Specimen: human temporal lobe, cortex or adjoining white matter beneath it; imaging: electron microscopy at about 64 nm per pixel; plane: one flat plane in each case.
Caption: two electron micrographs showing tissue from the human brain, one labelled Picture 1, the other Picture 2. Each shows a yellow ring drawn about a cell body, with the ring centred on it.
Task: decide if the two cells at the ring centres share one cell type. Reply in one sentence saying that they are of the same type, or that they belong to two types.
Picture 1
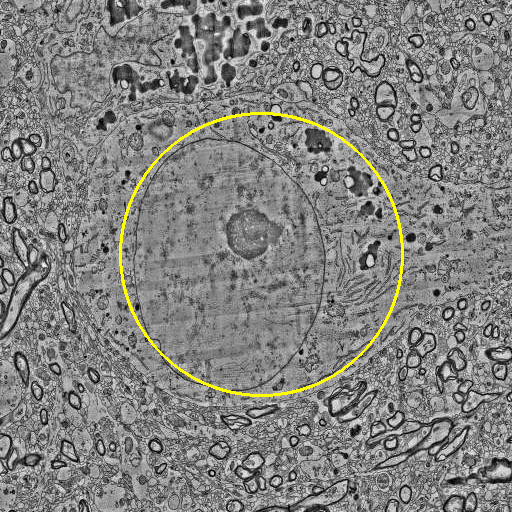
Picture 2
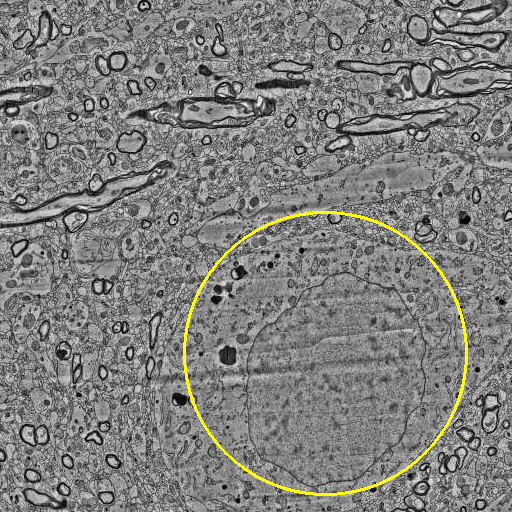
The cells at the ring centres in Picture 1 and Picture 2 are of the same type.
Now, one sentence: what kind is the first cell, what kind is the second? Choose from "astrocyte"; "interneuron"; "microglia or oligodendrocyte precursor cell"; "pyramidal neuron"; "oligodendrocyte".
Each of the ringed cells, first and second, is a pyramidal neuron.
